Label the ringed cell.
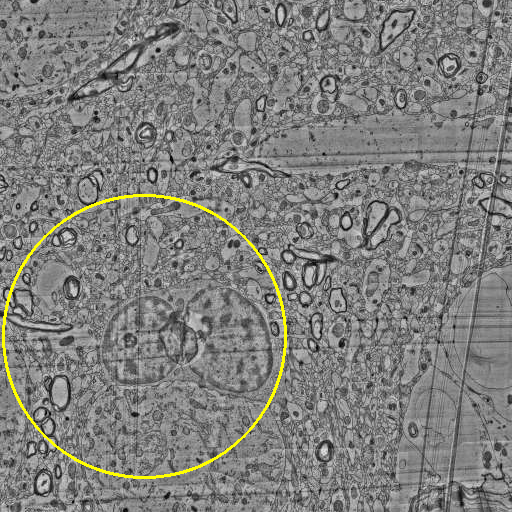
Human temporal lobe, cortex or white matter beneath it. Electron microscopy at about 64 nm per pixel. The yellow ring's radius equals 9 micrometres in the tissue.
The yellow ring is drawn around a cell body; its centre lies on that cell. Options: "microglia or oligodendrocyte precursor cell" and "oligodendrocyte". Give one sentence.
The ringed cell is an oligodendrocyte.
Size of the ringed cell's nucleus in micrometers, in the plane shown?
The nucleus is approximately 6 micrometers long by 5 micrometers wide in this plane.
